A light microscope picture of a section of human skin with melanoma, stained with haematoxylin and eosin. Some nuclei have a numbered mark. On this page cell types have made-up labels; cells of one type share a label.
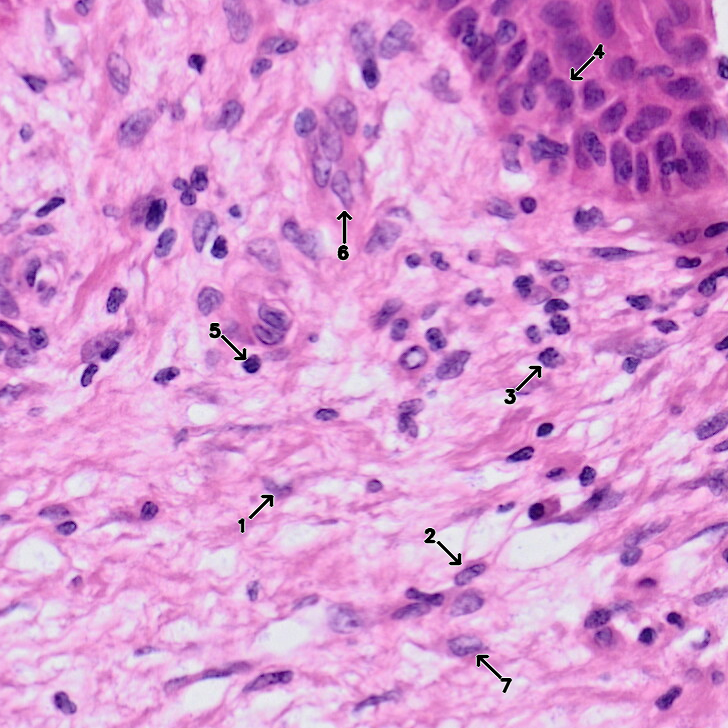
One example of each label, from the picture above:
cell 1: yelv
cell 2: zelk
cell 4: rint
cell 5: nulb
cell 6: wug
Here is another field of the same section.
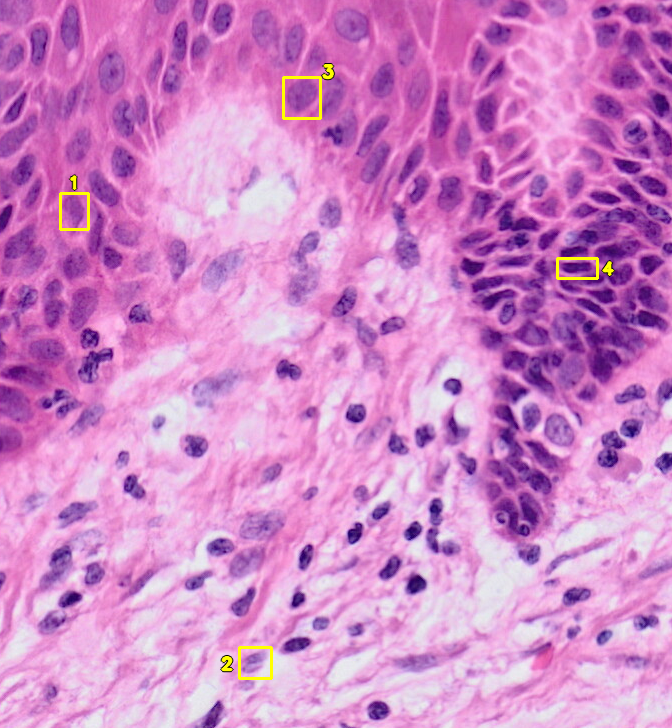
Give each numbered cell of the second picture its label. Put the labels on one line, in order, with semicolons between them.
rint; zelk; rint; rint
